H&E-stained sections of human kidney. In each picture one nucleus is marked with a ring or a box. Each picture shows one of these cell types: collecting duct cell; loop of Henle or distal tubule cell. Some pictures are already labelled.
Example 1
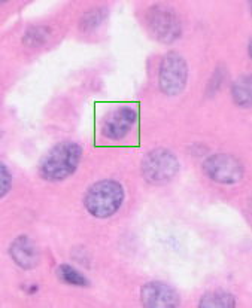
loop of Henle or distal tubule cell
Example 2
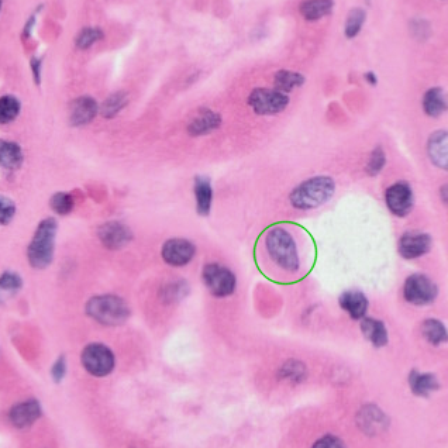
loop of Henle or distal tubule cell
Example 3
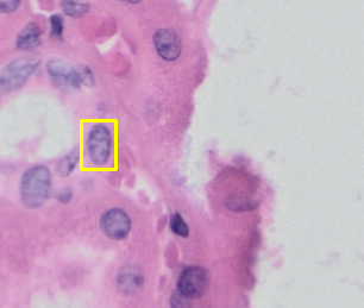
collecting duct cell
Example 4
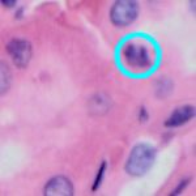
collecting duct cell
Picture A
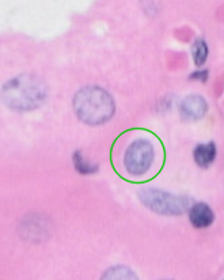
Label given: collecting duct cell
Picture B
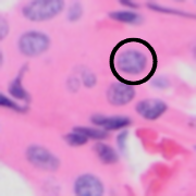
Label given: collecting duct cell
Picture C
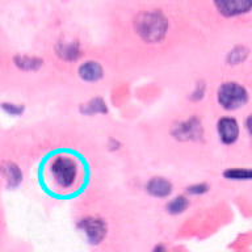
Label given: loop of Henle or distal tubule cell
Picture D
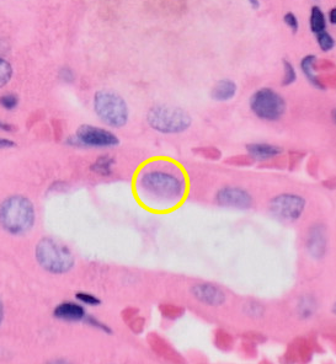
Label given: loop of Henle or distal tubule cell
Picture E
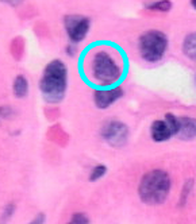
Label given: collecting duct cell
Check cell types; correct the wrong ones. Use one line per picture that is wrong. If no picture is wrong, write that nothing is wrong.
B: not collecting duct cell but loop of Henle or distal tubule cell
